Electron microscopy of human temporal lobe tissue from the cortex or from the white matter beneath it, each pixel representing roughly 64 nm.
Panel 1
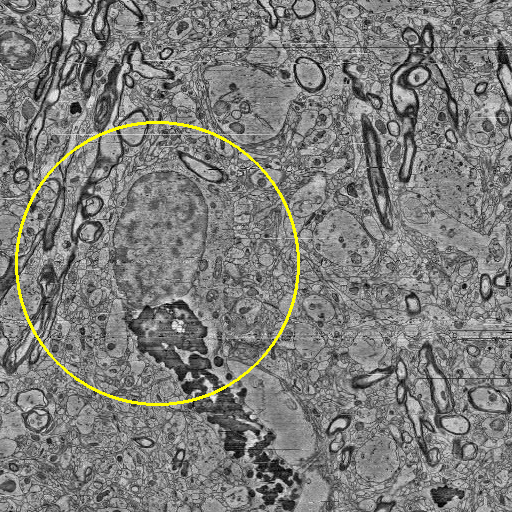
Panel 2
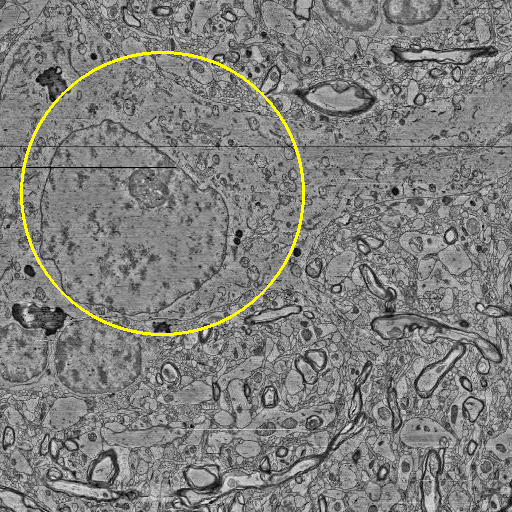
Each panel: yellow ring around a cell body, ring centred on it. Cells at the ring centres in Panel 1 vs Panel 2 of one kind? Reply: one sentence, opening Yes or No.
No, Panel 1 and Panel 2 have cells of two kinds at the ring centres.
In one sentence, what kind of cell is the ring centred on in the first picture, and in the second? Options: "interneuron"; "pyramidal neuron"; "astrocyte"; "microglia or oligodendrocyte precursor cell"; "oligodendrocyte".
The cell at the centre of the second ring is a pyramidal neuron; the first ring's cell is an oligodendrocyte.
